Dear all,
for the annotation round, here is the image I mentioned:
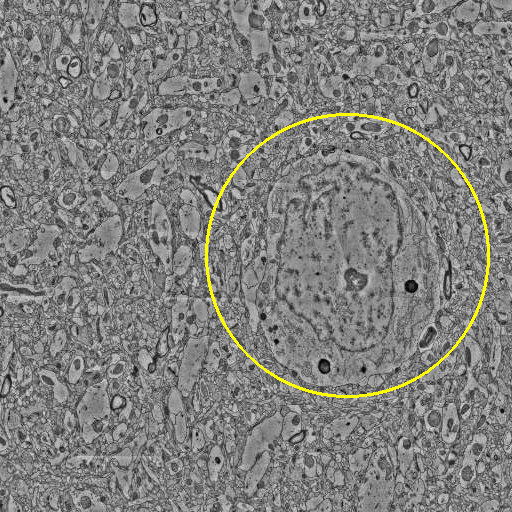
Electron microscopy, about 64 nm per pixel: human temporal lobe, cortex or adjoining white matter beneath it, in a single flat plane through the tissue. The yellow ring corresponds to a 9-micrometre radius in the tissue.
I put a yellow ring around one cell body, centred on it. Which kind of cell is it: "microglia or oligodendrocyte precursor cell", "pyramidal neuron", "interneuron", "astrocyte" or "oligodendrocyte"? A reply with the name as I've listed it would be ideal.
interneuron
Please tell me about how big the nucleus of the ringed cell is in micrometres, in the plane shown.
The nucleus appears roughly 12 by 8 micrometres in this plane.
